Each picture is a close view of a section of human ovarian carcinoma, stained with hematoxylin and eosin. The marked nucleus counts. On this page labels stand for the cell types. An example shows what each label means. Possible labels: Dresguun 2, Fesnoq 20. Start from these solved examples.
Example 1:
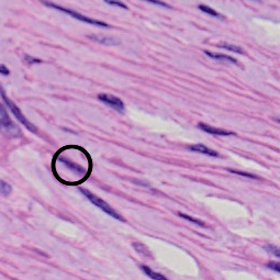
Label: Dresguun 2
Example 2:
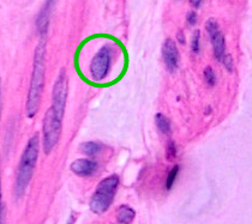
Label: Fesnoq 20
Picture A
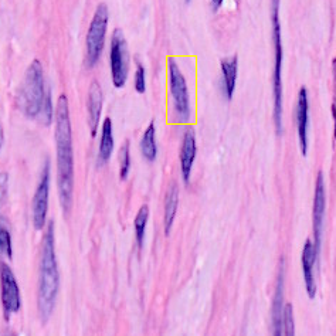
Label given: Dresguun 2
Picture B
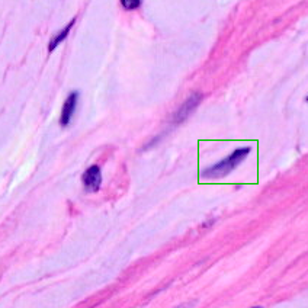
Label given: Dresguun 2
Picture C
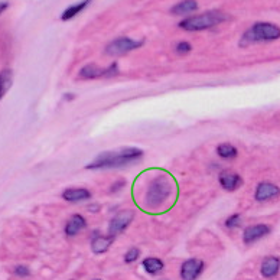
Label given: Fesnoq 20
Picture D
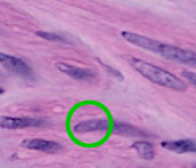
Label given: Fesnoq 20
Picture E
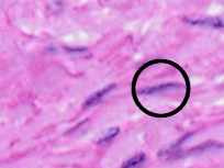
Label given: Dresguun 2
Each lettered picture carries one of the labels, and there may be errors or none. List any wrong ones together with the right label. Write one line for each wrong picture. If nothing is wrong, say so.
A: Fesnoq 20, not Dresguun 2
